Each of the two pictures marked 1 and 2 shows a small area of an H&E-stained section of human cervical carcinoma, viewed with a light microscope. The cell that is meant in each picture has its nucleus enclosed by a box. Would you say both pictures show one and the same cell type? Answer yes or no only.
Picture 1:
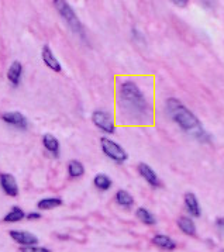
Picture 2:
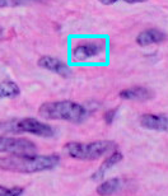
yes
